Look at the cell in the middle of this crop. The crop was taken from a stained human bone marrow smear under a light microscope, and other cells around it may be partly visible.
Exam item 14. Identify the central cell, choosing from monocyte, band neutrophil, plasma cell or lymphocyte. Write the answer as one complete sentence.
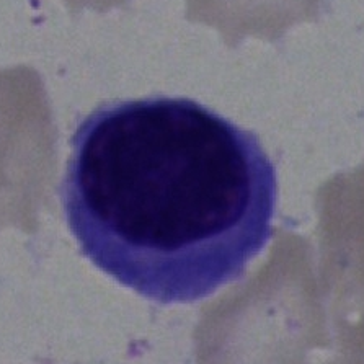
The centered cell in this crop is a plasma cell.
